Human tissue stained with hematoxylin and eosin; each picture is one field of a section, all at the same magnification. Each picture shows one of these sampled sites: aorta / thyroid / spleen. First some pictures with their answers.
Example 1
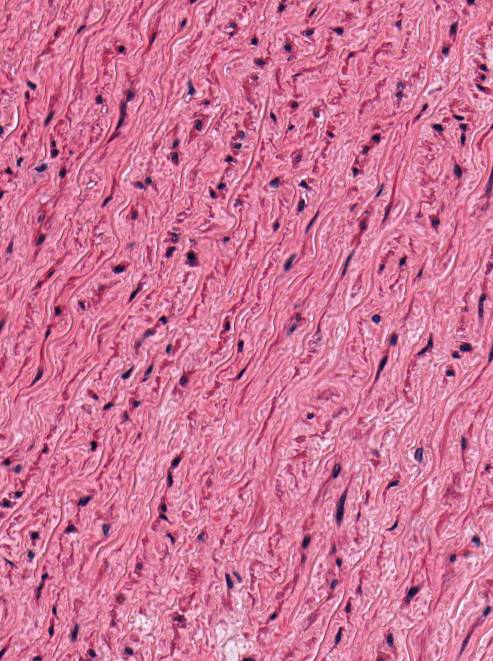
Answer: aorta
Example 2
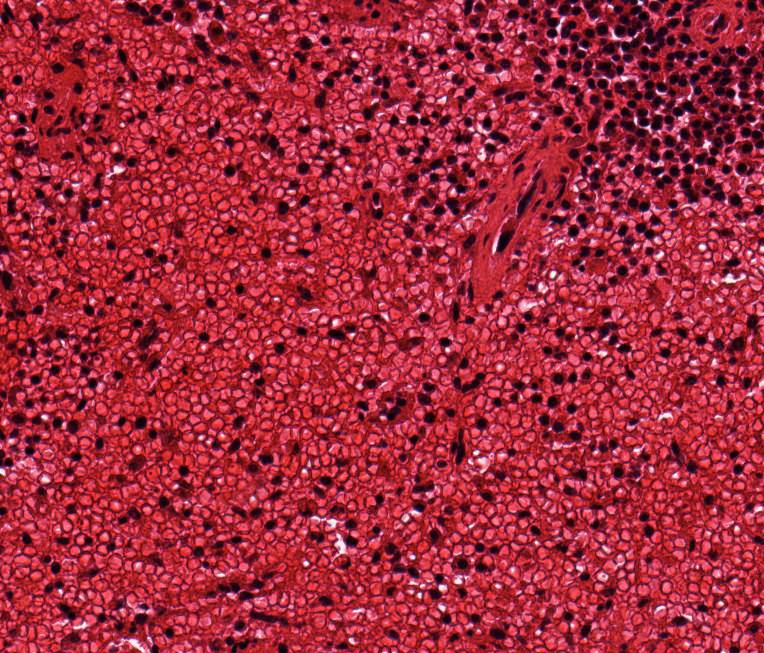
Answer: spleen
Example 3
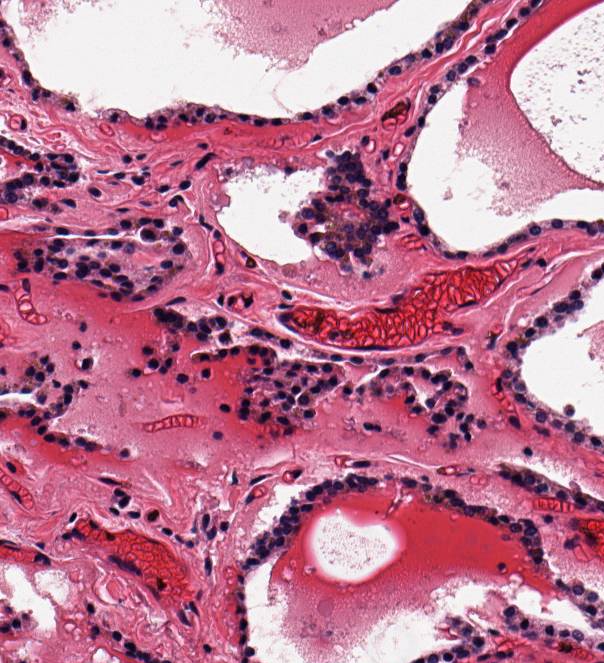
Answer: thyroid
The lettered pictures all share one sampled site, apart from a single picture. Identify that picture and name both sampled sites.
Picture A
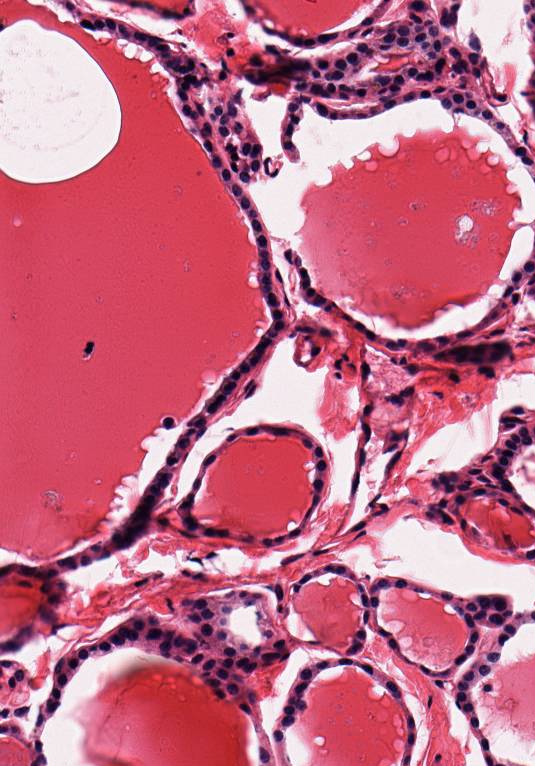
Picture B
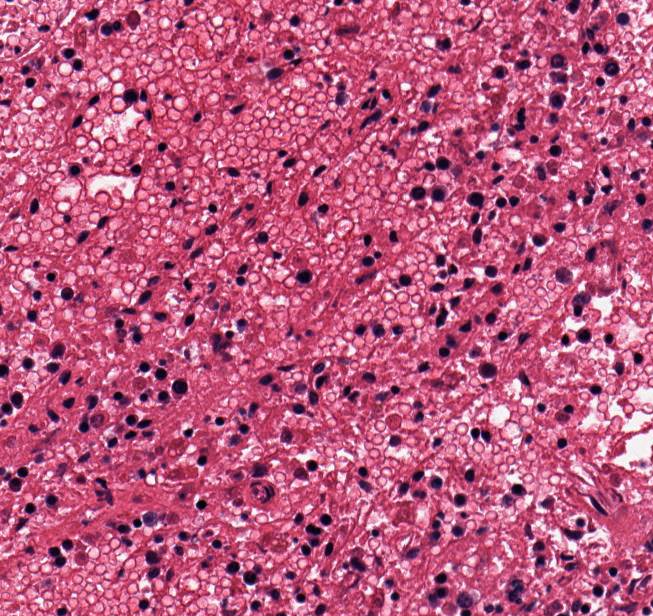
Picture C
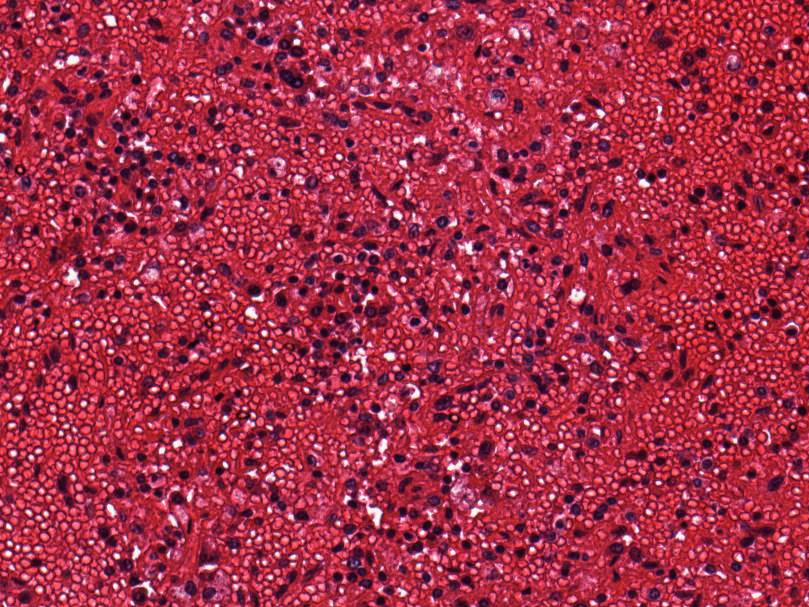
Odd one out: A (thyroid). The rest: spleen.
